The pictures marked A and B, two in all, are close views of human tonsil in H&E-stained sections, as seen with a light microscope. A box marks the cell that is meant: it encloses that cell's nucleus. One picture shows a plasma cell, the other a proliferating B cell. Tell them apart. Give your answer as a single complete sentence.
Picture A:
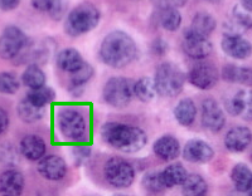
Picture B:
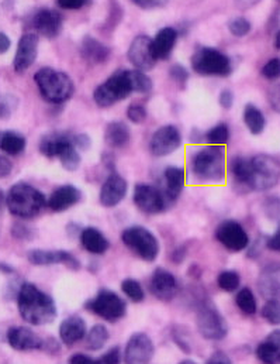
In picture A the cell is a plasma cell; in picture B, a proliferating B cell.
